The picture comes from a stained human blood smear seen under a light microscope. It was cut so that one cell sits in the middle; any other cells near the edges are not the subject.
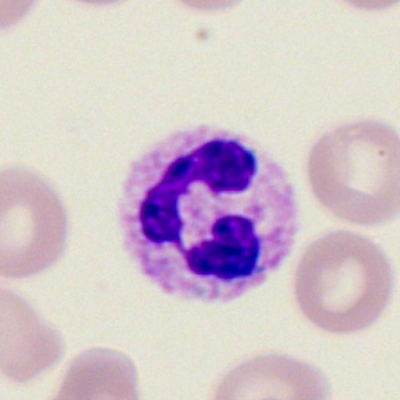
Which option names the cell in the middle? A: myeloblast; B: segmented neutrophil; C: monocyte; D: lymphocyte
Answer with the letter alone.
B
